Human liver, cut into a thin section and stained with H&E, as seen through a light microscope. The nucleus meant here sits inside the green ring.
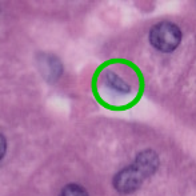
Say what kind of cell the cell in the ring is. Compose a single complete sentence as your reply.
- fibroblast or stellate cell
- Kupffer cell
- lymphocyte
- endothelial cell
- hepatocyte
In this preparation, the cell in the ring is an endothelial cell.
